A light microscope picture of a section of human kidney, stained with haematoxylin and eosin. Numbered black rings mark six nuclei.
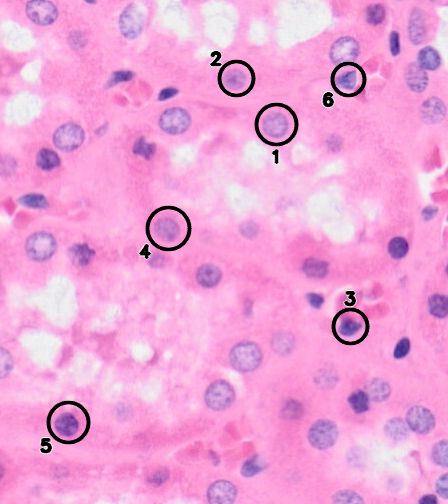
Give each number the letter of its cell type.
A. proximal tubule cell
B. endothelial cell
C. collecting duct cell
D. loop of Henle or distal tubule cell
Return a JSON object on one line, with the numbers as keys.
{"1": "A", "2": "A", "3": "B", "4": "A", "5": "A", "6": "B"}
